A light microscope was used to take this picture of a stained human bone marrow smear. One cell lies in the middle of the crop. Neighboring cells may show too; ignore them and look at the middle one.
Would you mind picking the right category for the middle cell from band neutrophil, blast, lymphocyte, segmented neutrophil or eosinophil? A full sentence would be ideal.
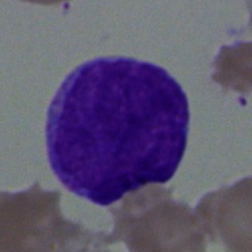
The central element of this crop is a cell, namely a blast.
